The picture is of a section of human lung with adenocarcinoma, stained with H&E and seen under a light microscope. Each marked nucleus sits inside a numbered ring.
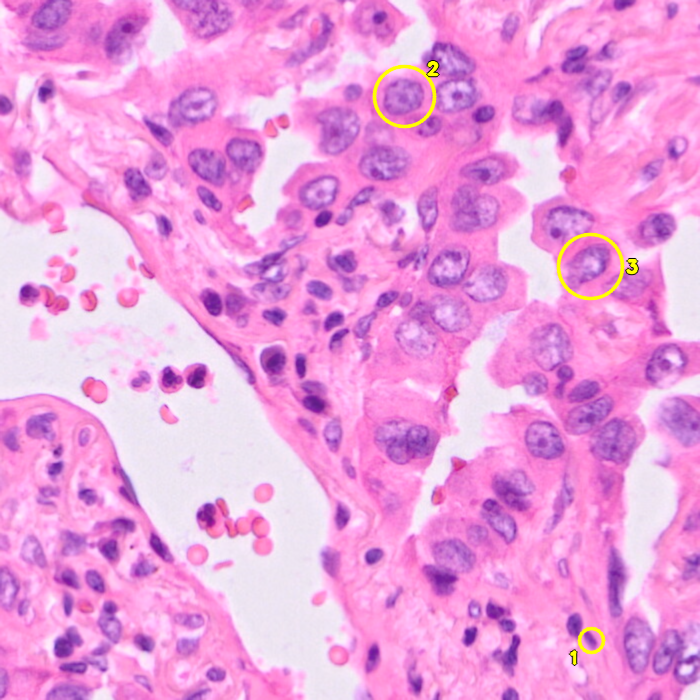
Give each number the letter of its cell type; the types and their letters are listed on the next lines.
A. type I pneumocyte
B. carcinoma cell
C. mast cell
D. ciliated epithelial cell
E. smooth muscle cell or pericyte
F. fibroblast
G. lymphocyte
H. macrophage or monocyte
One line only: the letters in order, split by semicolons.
G; B; B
